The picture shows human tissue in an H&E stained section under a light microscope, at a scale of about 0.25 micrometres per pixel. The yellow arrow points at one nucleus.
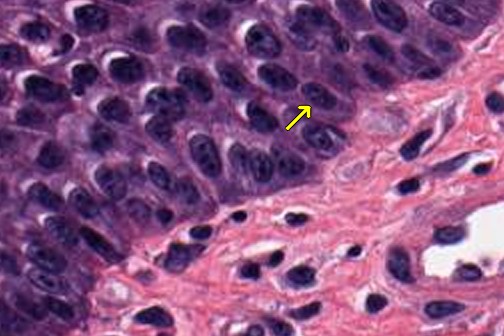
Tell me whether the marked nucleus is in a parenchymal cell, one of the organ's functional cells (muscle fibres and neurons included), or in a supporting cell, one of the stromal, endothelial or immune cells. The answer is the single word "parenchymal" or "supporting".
parenchymal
